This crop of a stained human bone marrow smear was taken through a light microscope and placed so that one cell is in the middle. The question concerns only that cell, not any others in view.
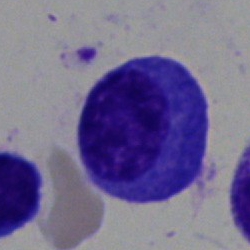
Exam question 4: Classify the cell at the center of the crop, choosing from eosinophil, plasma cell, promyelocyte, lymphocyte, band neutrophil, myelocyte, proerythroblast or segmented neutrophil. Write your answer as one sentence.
For this crop, the central cell is a plasma cell.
